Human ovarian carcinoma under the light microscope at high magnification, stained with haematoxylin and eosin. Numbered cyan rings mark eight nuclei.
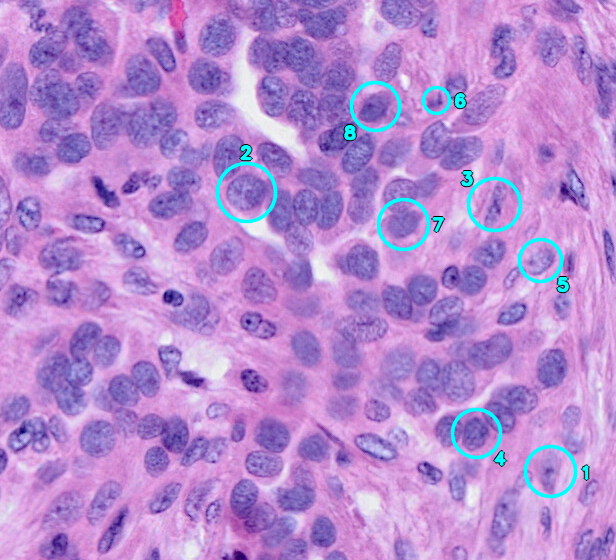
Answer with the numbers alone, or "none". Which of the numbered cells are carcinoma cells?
2, 4, 7, 8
